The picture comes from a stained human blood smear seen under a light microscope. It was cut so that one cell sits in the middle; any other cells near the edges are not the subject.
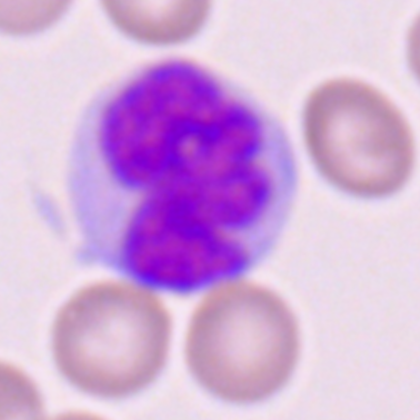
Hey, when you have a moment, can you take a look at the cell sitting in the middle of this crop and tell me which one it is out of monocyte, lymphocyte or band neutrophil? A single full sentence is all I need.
The central cell in this smear crop is a monocyte.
